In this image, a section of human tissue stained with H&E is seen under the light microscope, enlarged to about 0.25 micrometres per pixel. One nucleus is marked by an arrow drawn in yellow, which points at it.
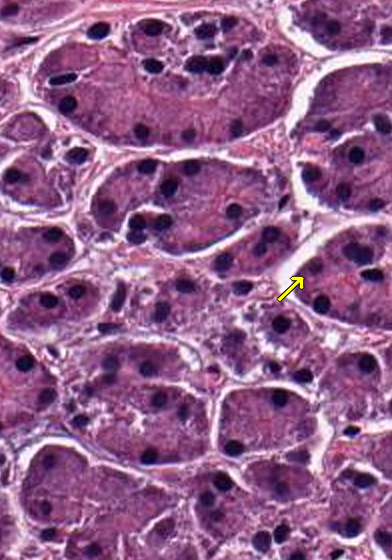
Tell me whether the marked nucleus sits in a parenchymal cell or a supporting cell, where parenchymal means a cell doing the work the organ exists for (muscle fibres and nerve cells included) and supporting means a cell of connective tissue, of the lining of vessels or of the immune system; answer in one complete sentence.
The parenchymal cell that owns the marked nucleus is a pancreatic acinar cell.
